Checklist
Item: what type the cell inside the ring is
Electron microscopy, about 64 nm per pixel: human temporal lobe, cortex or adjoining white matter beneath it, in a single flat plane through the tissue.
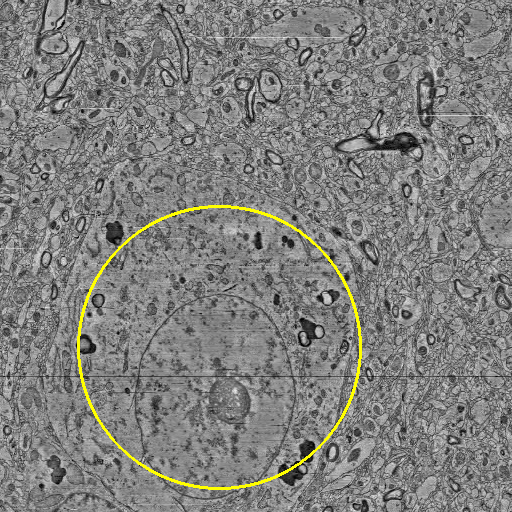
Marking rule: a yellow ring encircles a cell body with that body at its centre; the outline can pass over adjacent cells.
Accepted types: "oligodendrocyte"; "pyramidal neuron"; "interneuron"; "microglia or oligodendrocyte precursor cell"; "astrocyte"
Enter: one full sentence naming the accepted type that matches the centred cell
The entry is that a pyramidal neuron lies at the centre of the yellow ring.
